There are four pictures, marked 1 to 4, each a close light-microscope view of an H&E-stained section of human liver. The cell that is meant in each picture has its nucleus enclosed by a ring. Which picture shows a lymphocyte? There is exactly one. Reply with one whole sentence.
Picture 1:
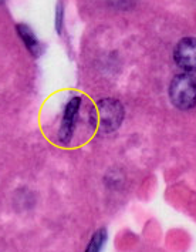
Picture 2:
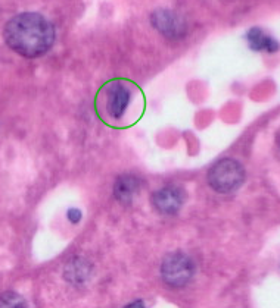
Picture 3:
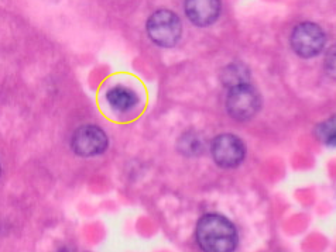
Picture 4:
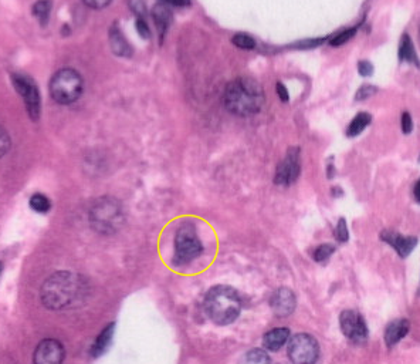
It is picture 3 that shows the lymphocyte.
